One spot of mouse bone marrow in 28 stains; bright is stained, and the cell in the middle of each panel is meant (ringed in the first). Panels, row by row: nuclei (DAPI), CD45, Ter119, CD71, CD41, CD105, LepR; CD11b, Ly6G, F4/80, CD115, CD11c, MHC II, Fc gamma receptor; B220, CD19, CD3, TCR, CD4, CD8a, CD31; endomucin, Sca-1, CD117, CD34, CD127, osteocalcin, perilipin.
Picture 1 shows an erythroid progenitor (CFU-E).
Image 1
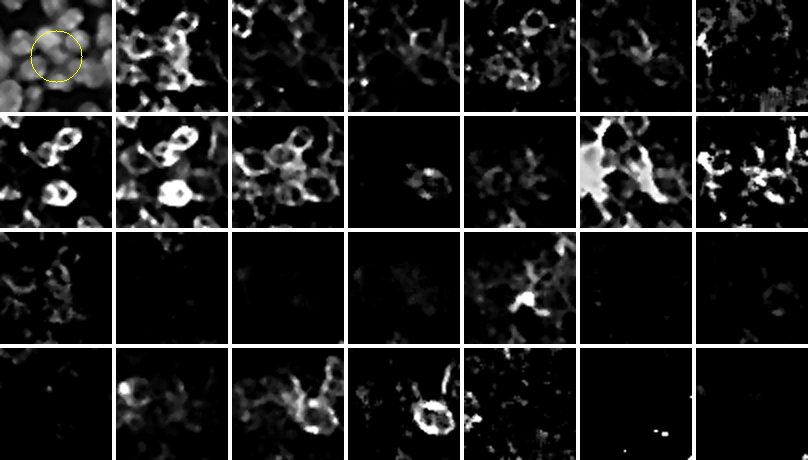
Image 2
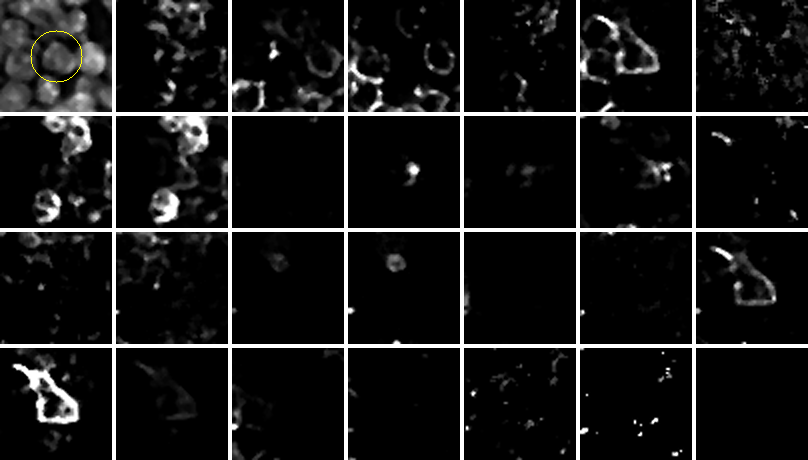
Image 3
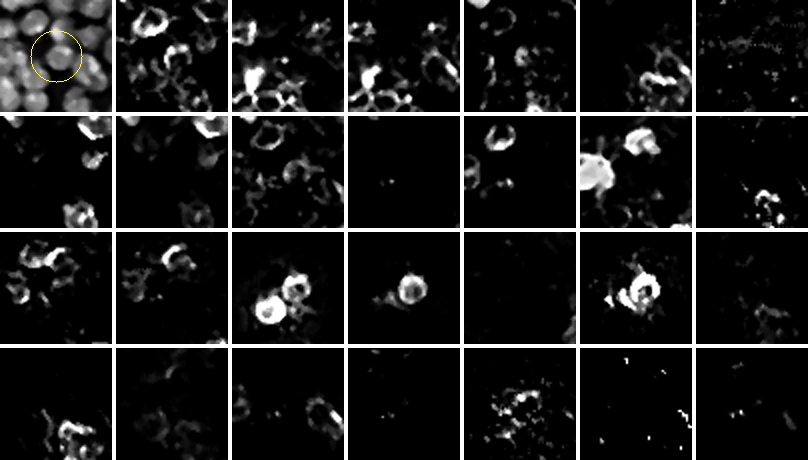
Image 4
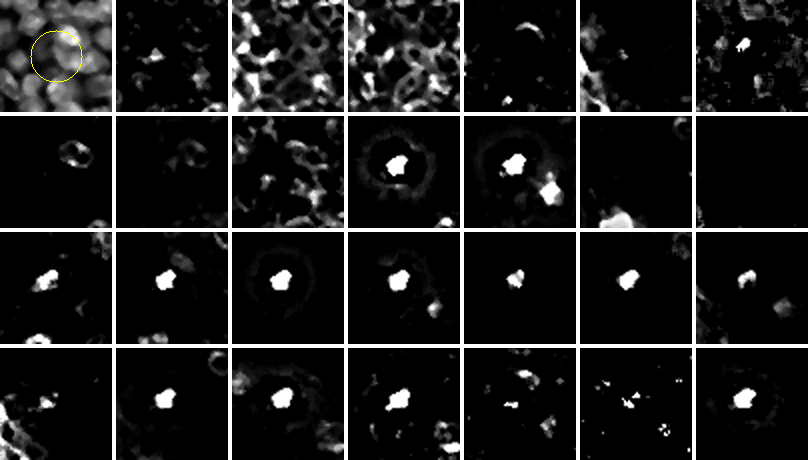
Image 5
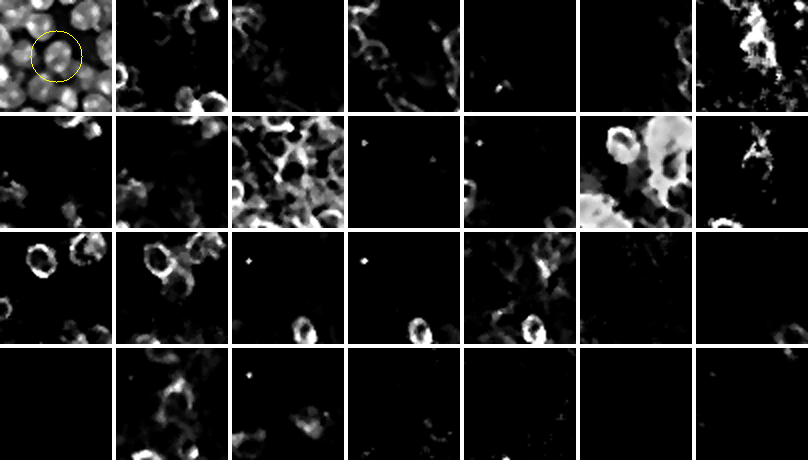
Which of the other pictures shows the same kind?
Picture 4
